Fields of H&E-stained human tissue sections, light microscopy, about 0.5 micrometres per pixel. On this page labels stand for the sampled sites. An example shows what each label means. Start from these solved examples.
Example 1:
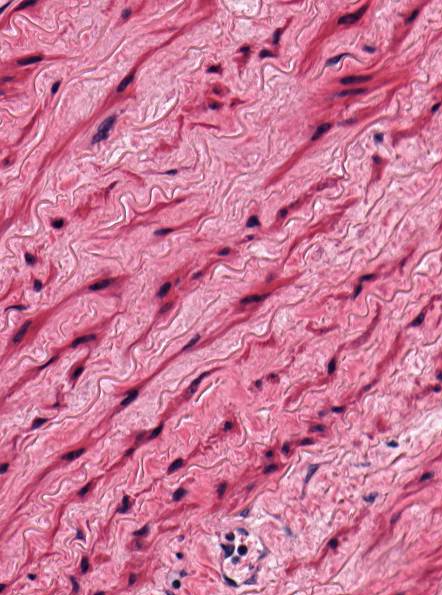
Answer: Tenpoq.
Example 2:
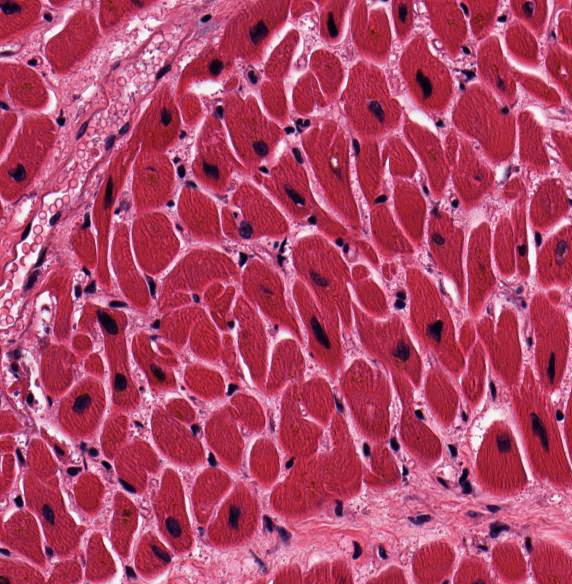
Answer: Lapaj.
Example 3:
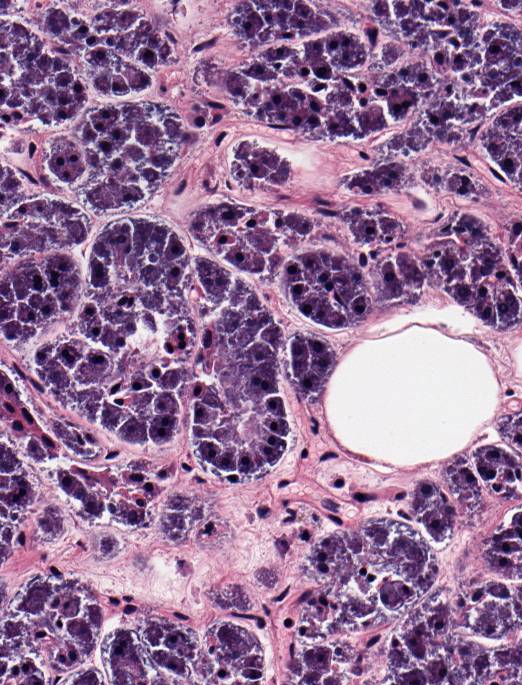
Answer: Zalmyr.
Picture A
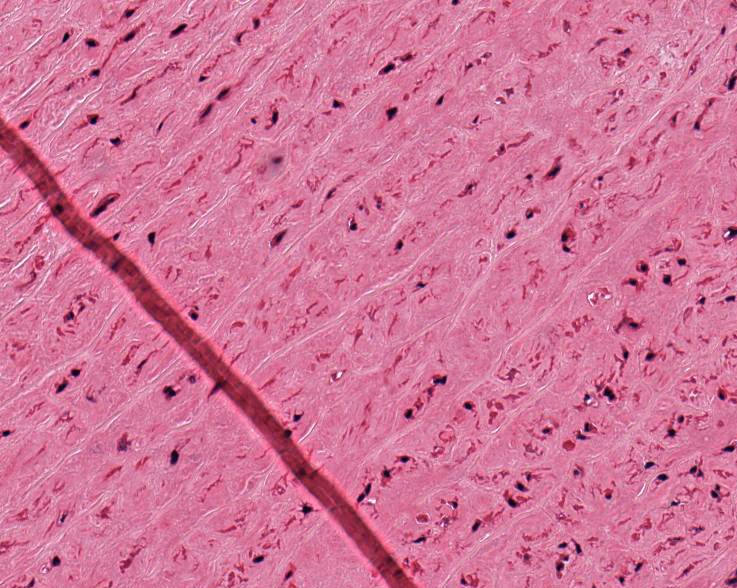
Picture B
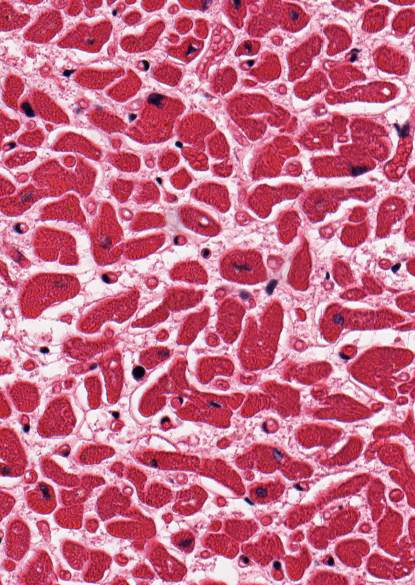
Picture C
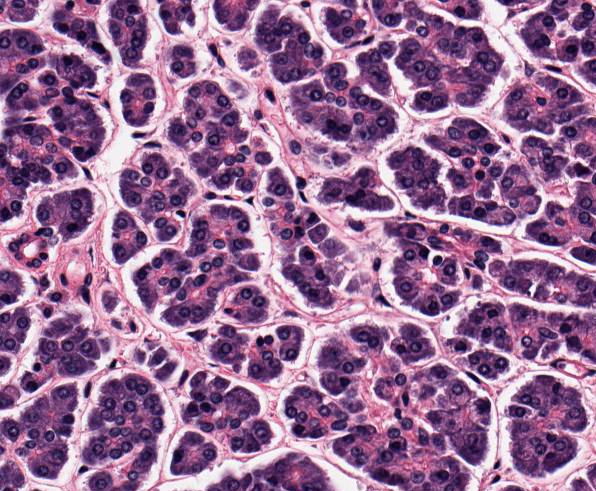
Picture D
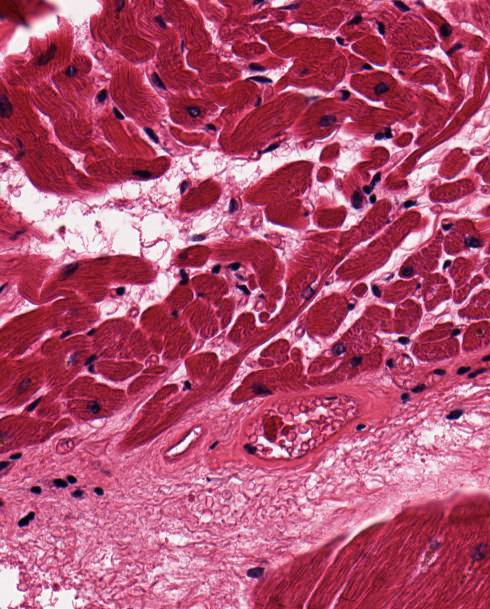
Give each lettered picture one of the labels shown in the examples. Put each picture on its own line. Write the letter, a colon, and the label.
A: Tenpoq.
B: Lapaj.
C: Zalmyr.
D: Lapaj.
